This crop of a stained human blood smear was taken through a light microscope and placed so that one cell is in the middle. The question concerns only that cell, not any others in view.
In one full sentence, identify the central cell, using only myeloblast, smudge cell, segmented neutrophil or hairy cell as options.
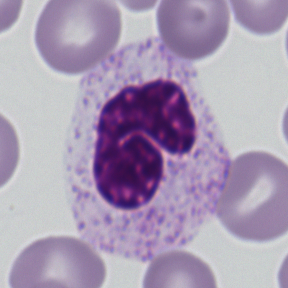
The cell at the heart of this crop is a segmented neutrophil.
